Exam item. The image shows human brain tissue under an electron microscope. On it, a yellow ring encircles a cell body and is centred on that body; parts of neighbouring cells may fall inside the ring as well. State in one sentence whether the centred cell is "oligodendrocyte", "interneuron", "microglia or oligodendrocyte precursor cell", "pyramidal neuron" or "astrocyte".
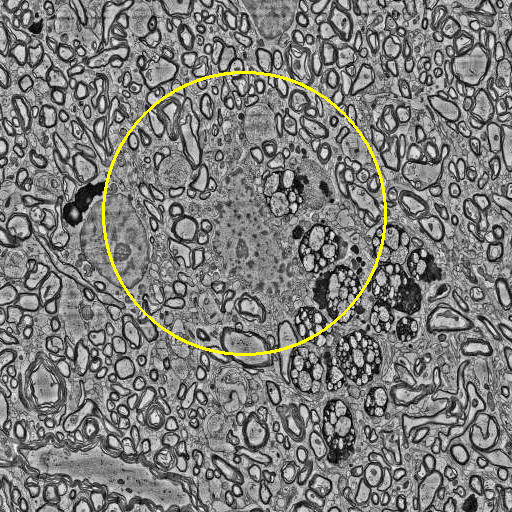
The cell body centred in the ring is an astrocyte.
